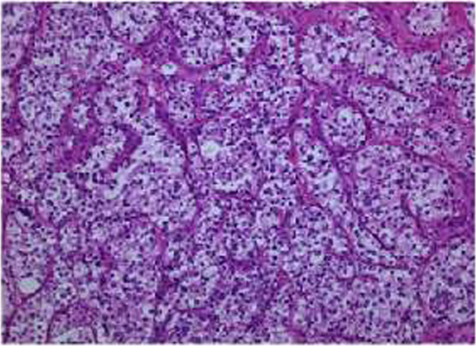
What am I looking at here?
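Tumor cells with abundant clear cytoplasm form closely packed nests framed by thin pink fibrovascular strands. The cells have pale, vacuolated-looking cytoplasm and small, round, dark nuclei, giving a pattern much like a clear cell nested tumor.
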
